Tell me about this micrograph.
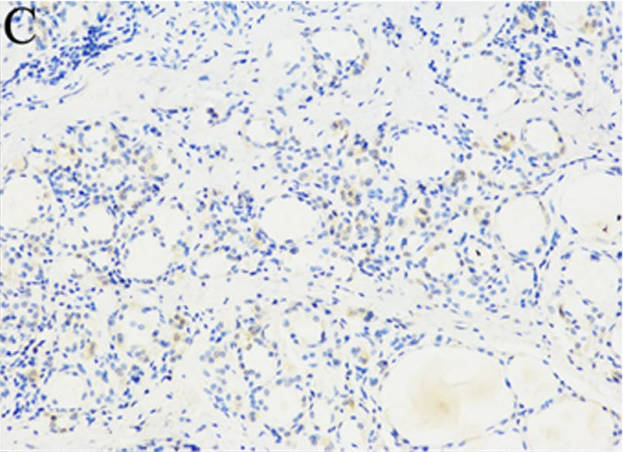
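Thyroid tissue is built of many round follicles of varying size, each lined by a single layer of small epithelial cells with blue nuclei. The follicles hold pale, nearly unstained content, and in some of the larger ones it is faintly brownish. Between the follicles lie cellular strands with crowded blue nuclei. Faint, granular brown stain is scattered in the cytoplasm of some of the lining cells, while most cells show only the blue counterstain. The overall brown staining is weak.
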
